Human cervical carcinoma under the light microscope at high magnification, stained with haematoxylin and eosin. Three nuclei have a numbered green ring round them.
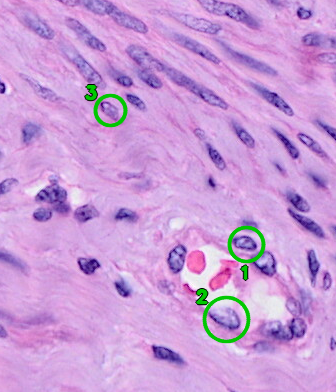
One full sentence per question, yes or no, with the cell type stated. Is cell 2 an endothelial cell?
Yes, the number 2 belongs to an endothelial cell.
